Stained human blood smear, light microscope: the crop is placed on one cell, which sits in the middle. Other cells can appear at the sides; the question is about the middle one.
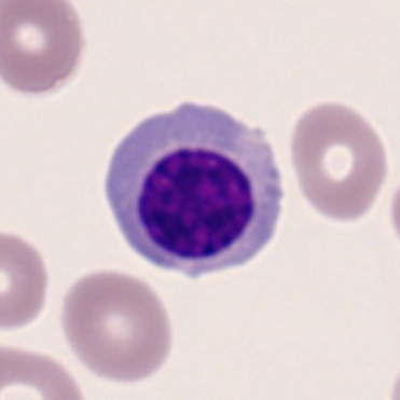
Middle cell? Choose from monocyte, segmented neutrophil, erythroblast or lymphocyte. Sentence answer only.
In the central position of this crop, the cell is an erythroblast.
